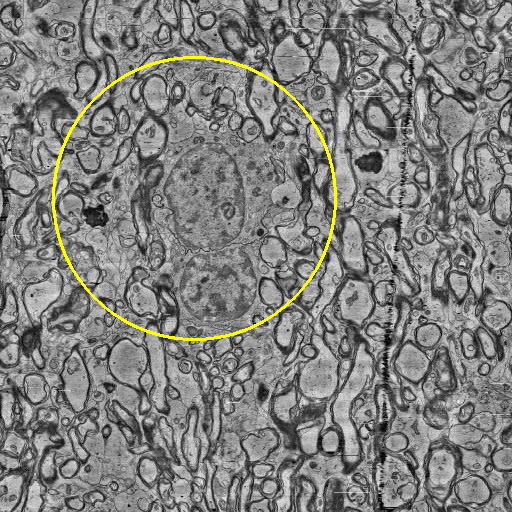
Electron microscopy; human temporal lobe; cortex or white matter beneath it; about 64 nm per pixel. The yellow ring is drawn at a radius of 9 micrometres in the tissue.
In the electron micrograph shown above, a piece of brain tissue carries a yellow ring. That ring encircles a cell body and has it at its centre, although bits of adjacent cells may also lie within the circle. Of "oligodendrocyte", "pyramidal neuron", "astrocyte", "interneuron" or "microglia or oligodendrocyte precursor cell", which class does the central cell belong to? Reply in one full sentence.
The cell body at the centre of the yellow ring belongs to an oligodendrocyte.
